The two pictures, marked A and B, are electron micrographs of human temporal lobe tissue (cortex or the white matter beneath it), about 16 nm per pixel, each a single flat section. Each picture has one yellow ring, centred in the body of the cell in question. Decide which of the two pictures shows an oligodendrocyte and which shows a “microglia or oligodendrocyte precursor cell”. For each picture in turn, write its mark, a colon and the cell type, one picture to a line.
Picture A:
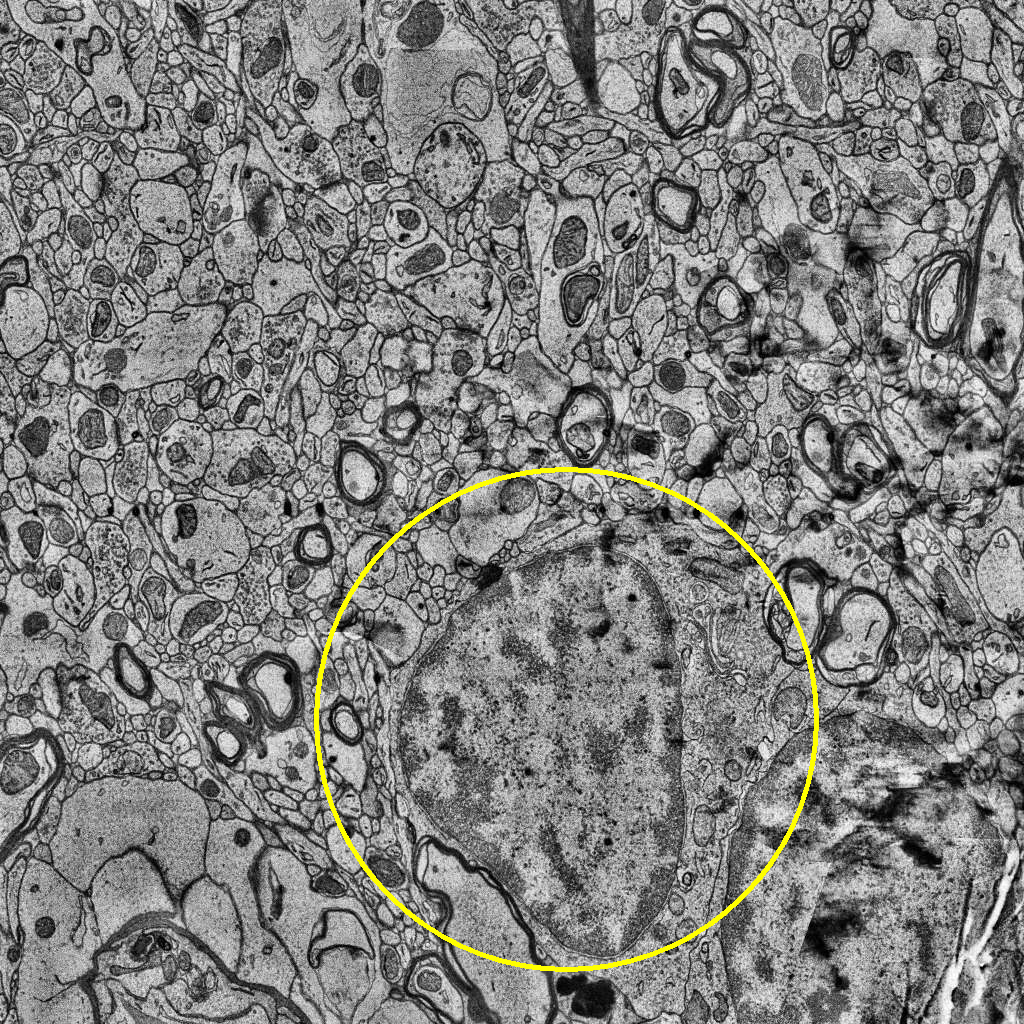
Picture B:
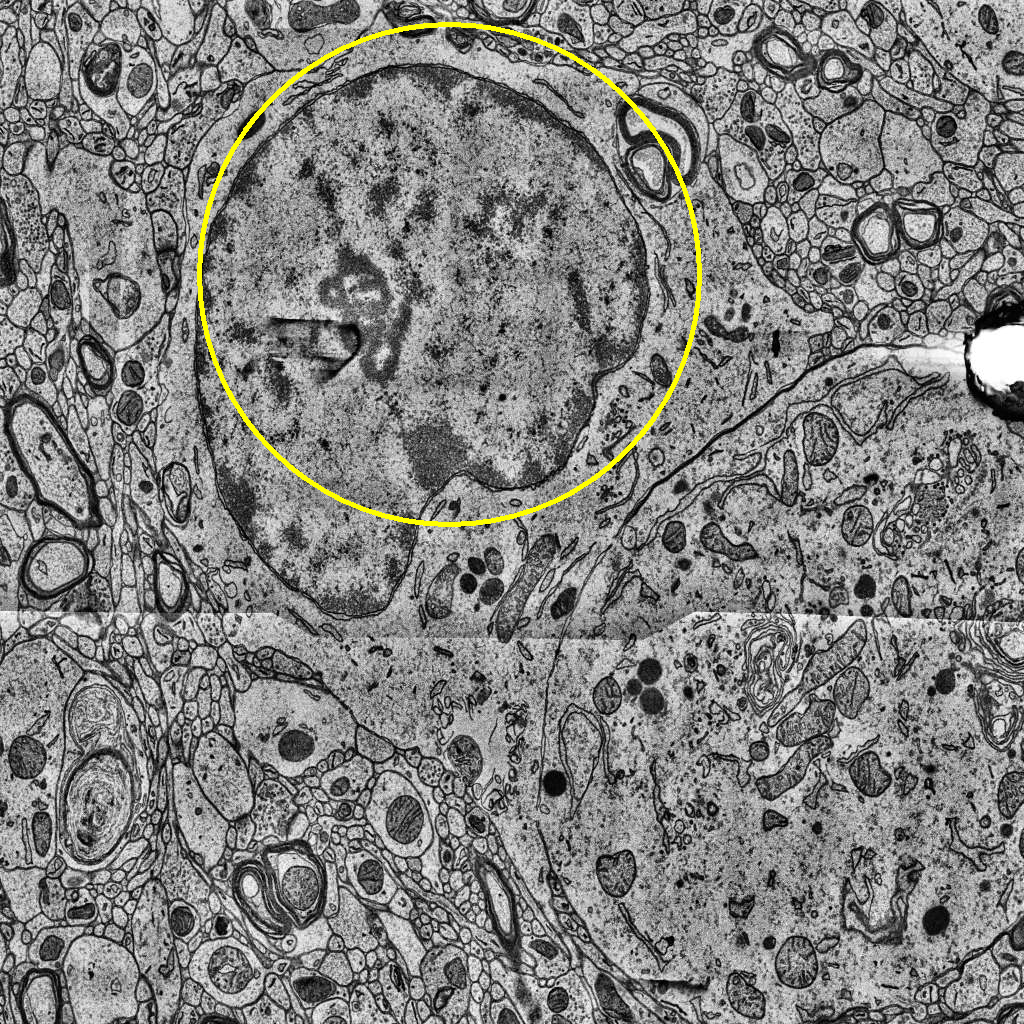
A: oligodendrocyte
B: microglia or oligodendrocyte precursor cell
